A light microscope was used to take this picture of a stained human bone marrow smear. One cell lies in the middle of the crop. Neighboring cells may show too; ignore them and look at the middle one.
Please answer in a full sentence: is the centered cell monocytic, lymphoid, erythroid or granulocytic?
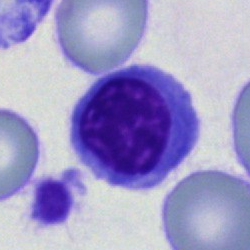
In this crop the cell in the center is part of the erythroid lineage.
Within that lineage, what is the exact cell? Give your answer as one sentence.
Here the cell in the middle is an erythroblast.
